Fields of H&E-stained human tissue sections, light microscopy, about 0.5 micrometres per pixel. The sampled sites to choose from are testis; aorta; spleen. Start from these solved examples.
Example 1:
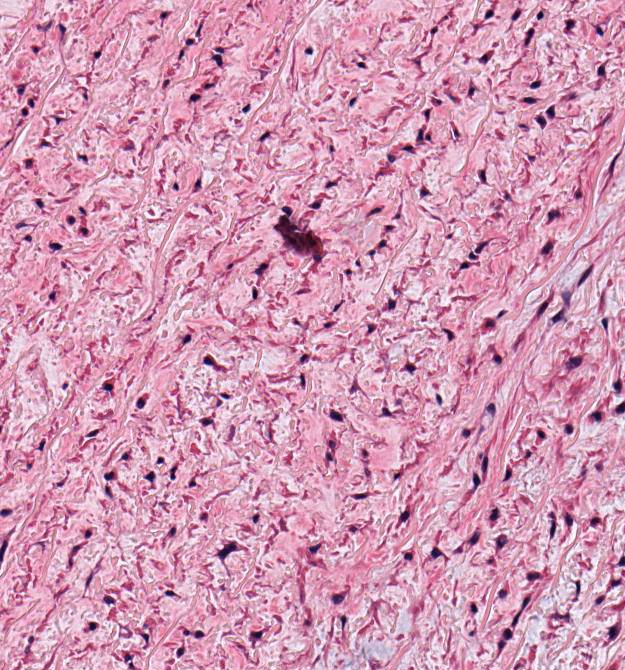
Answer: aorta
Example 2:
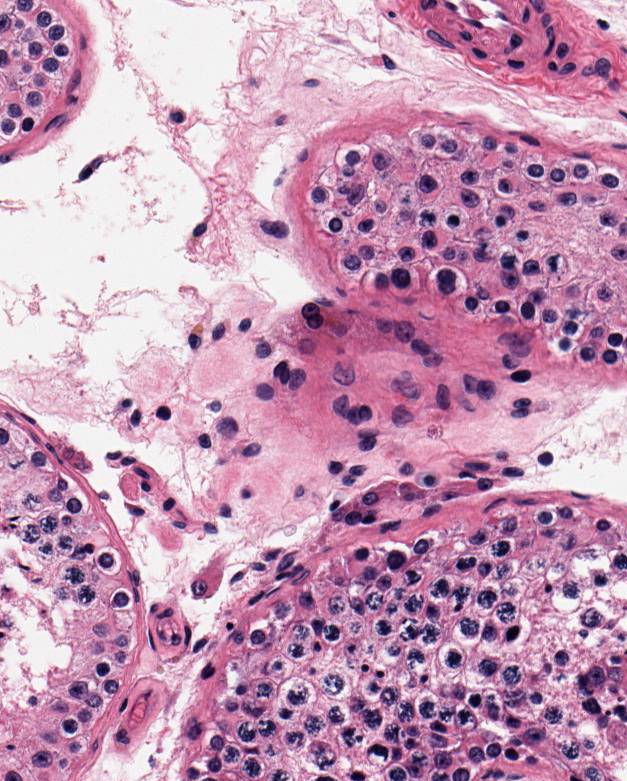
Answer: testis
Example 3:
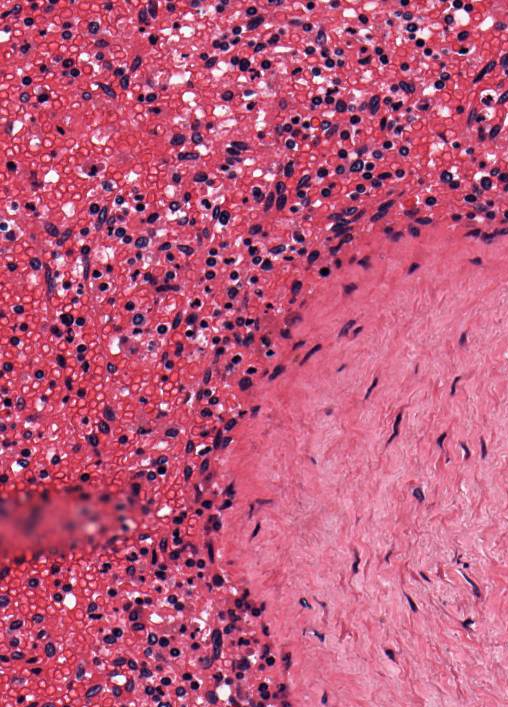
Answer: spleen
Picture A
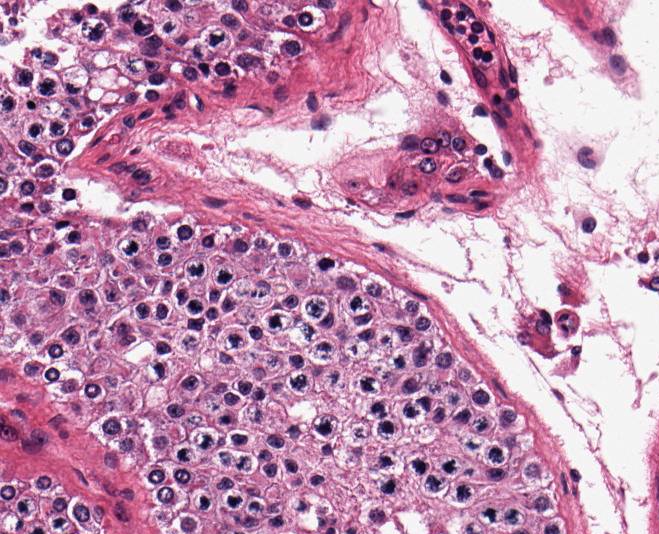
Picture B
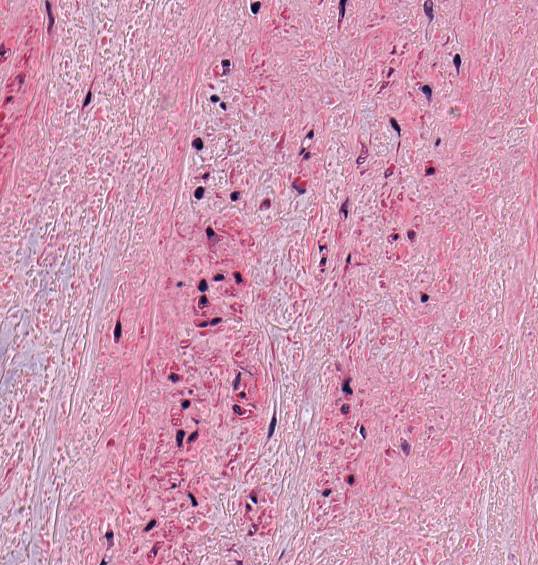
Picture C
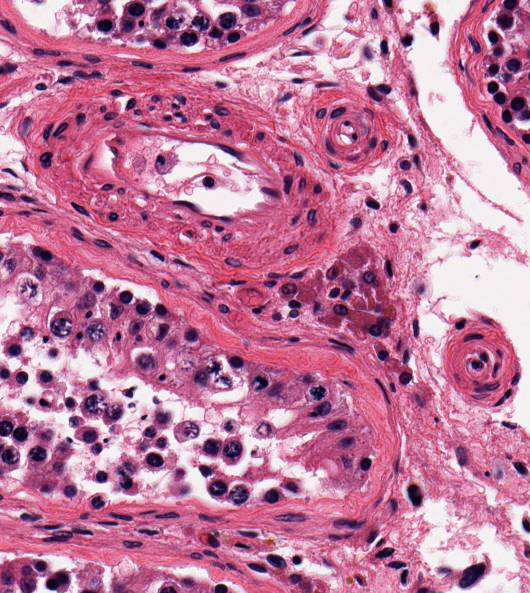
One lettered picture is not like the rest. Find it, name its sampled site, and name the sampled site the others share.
Exception: B, showing aorta. Remaining pictures: testis.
